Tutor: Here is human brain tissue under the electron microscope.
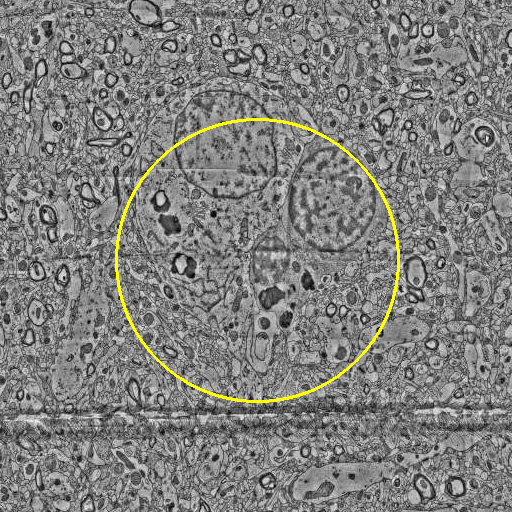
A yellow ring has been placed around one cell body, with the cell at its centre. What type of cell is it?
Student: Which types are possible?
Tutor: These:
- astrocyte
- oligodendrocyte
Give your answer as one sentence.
What the ring picks out here is an oligodendrocyte.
